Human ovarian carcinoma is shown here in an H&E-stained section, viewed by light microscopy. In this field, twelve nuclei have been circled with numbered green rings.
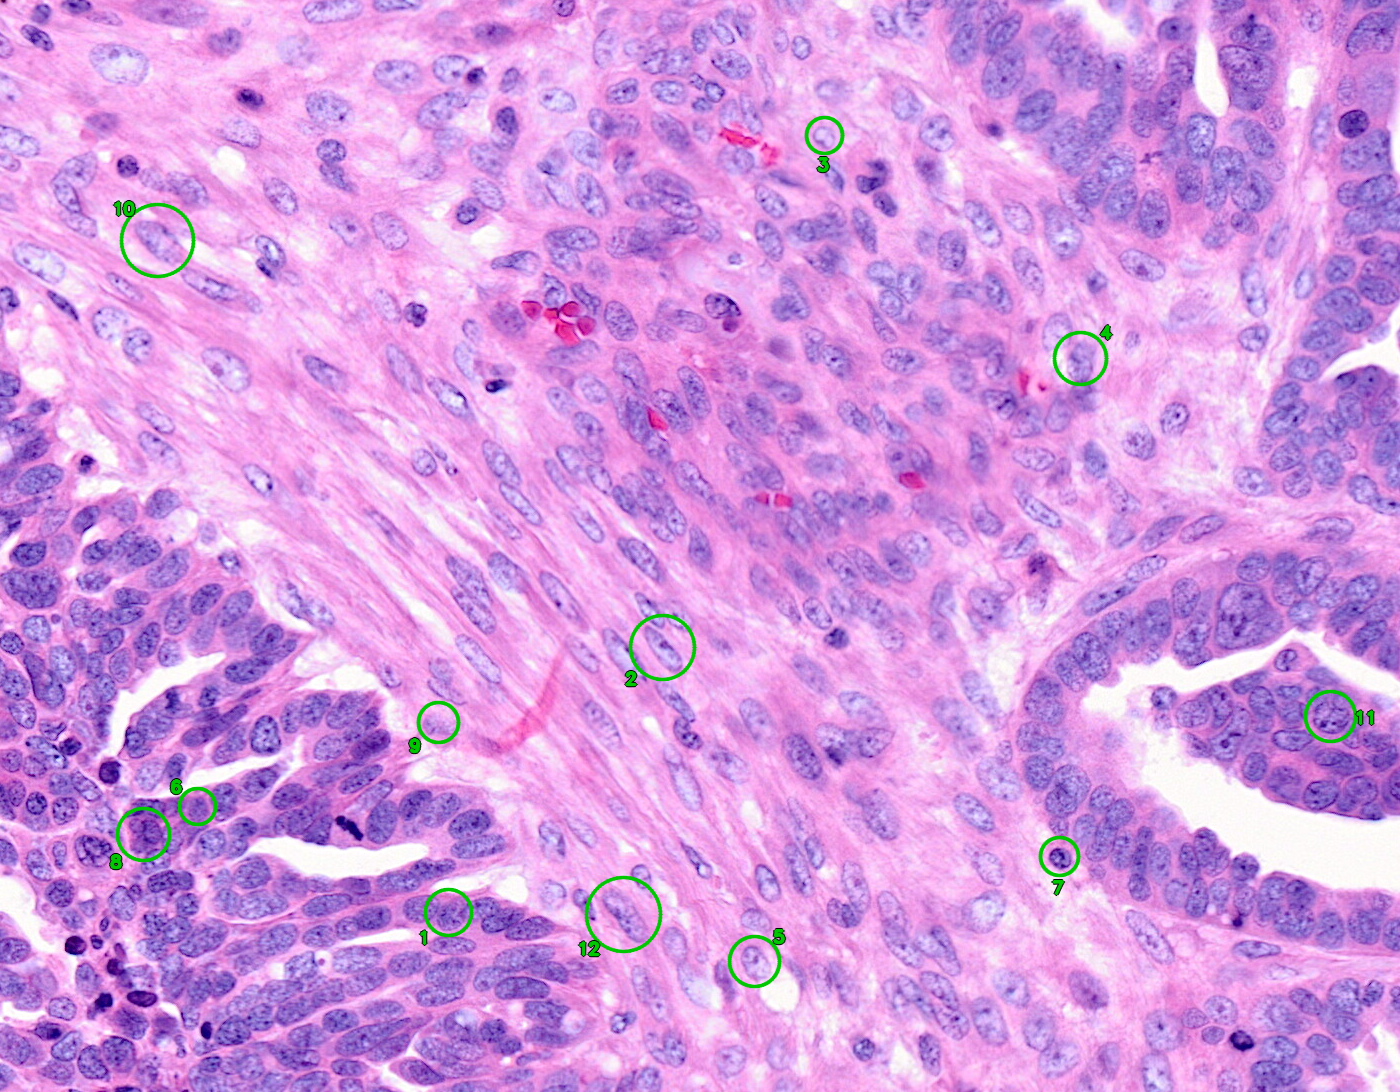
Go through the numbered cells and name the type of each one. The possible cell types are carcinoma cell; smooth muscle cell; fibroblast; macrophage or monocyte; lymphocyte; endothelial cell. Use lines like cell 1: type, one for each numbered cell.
cell 1: carcinoma cell
cell 2: fibroblast
cell 3: fibroblast
cell 4: fibroblast
cell 5: fibroblast
cell 6: carcinoma cell
cell 7: lymphocyte
cell 8: carcinoma cell
cell 9: fibroblast
cell 10: fibroblast
cell 11: carcinoma cell
cell 12: fibroblast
